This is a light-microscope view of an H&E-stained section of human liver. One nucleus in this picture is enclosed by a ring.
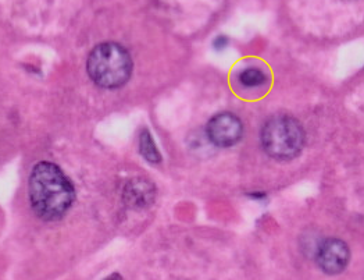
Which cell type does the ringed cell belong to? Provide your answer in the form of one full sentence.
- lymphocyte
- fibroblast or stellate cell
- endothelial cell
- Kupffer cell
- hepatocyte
What the ringed cell represents is a fibroblast or stellate cell.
